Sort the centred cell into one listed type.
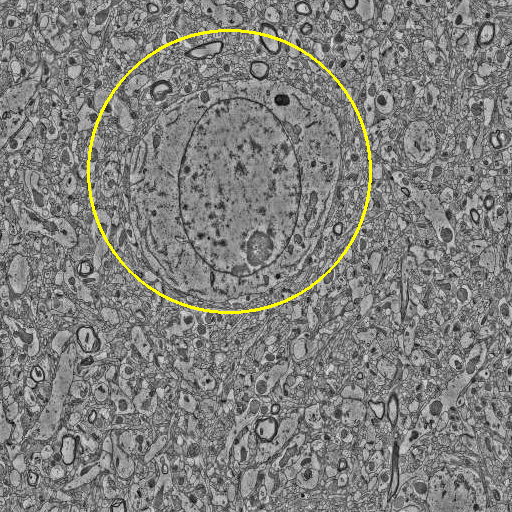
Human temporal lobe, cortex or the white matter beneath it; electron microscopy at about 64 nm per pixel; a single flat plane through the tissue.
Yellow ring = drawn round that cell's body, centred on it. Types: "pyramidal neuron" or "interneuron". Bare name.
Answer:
pyramidal neuron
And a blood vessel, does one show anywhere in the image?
No.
